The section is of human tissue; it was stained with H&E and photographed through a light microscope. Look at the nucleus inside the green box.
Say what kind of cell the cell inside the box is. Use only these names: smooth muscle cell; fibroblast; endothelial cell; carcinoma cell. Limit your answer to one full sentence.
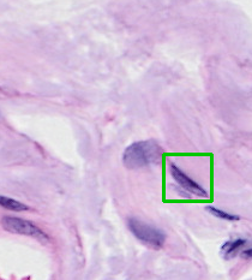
In this section of tissue, the cell inside the box is a fibroblast.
